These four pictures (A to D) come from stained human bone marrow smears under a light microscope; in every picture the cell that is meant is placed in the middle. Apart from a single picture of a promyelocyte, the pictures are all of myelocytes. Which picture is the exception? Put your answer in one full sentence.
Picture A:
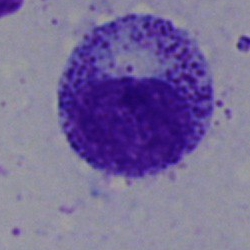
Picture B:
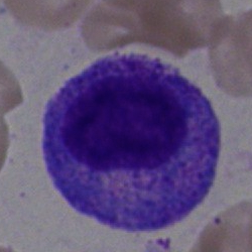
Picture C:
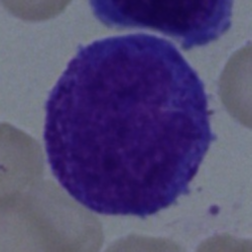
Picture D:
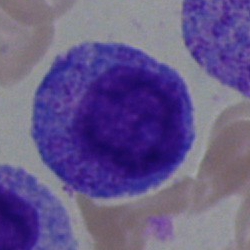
It is picture C that shows the promyelocyte.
